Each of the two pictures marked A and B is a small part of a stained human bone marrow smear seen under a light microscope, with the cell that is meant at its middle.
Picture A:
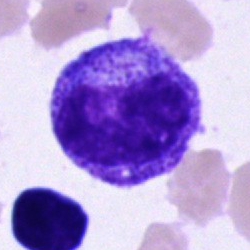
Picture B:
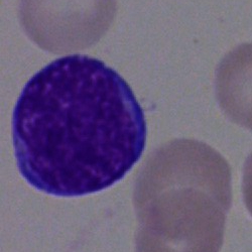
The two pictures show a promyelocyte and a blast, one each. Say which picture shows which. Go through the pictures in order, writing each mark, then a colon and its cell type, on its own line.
A: promyelocyte
B: blast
